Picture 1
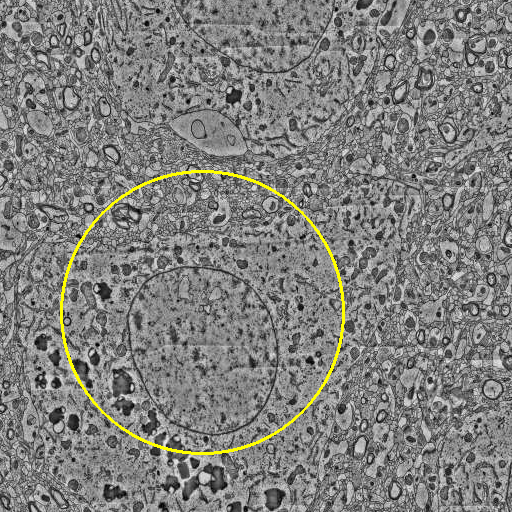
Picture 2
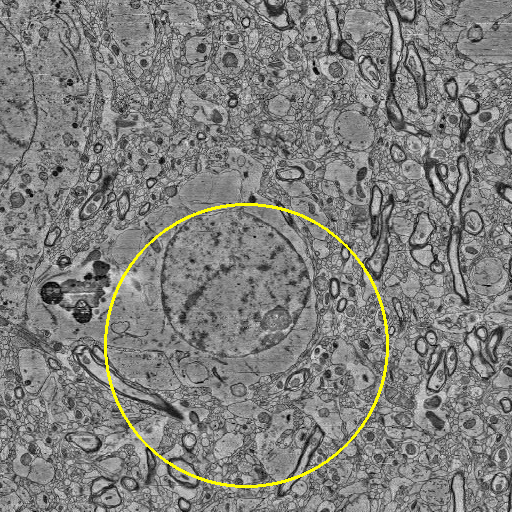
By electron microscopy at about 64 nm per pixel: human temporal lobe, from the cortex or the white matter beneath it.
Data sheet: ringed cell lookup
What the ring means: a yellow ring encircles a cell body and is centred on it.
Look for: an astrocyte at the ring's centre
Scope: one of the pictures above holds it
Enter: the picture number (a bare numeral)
2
